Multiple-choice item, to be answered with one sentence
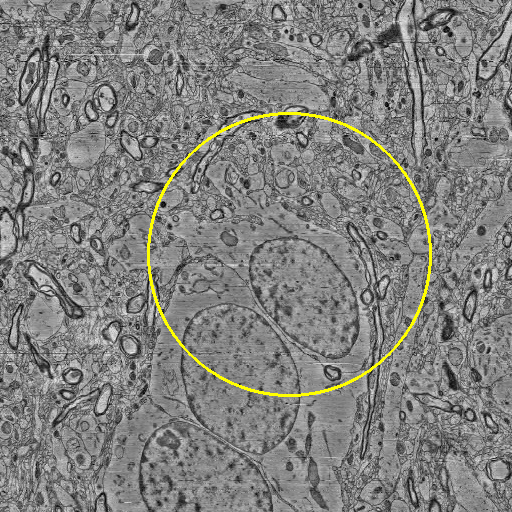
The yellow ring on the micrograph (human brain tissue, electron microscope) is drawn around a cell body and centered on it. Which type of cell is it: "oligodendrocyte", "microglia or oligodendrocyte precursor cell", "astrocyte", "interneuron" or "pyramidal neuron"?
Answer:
The ring is centered on an astrocyte.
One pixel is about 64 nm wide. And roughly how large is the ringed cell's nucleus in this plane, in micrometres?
About 9 by 5 micrometres in this plane; clearly longer than it is wide.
